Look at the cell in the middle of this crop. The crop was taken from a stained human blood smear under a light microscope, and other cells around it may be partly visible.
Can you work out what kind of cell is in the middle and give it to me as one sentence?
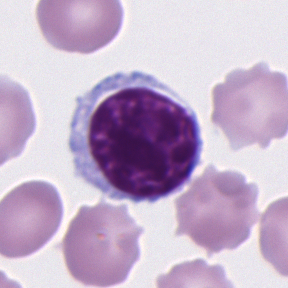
The central cell shown in this smear crop is a typical lymphocyte.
